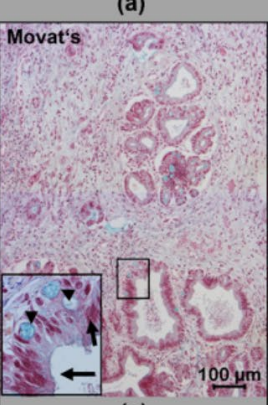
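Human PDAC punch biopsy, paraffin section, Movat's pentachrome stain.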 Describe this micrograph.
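Irregular glands of pancreatic cancer stained red lie in a pale, pinkish fibrous stroma. In the enlarged view, the columnar gland lining holds scattered cells with blue-green mucous droplets, the goblet cells, beside the red epithelial cells.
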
